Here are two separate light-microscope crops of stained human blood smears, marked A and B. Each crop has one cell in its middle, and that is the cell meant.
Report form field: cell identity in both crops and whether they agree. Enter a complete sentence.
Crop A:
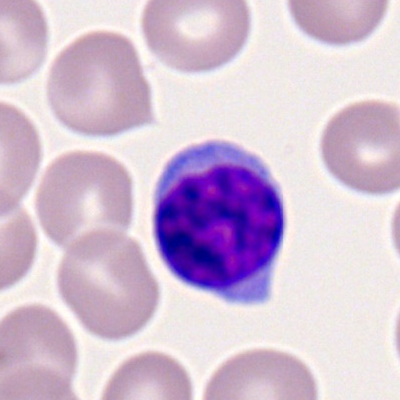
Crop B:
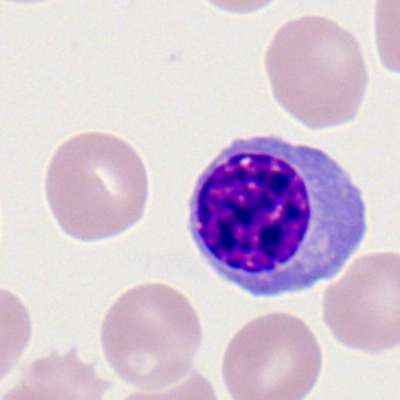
No, it is a lymphocyte in crop A and an erythroblast in crop B.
